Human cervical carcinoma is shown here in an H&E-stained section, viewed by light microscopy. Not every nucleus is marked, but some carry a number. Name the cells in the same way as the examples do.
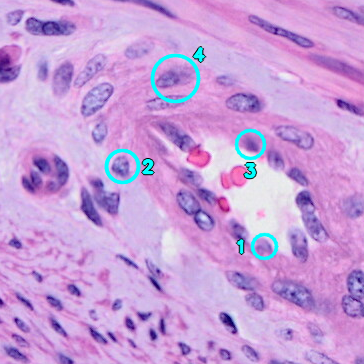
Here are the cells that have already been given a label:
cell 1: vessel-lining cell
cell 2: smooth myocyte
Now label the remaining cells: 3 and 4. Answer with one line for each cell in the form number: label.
3: vessel-lining cell
4: smooth myocyte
